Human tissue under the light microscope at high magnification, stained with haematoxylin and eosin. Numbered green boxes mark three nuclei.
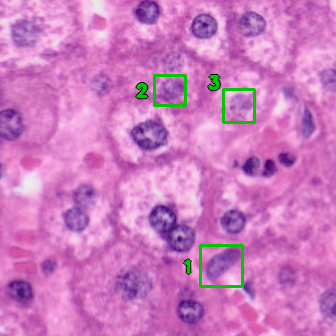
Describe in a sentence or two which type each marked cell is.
Cell 1 is a Kupffer cell. Cells 2 and 3 are hepatocytes.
